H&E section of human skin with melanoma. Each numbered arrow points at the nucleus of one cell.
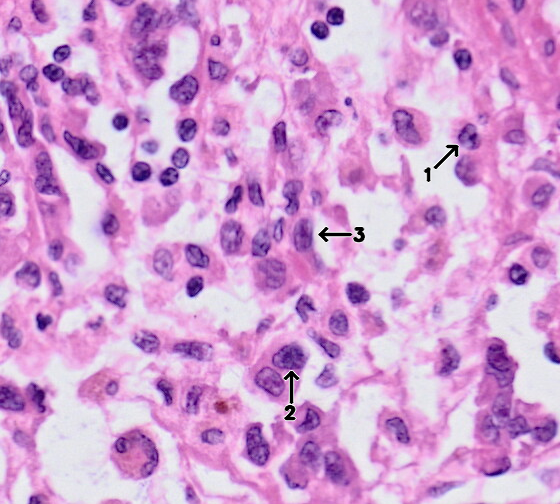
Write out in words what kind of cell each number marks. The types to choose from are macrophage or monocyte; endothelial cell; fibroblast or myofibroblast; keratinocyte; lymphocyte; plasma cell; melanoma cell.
Cell 1 is a macrophage or monocyte, cell 2 is a melanoma cell and cell 3 is a melanoma cell.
